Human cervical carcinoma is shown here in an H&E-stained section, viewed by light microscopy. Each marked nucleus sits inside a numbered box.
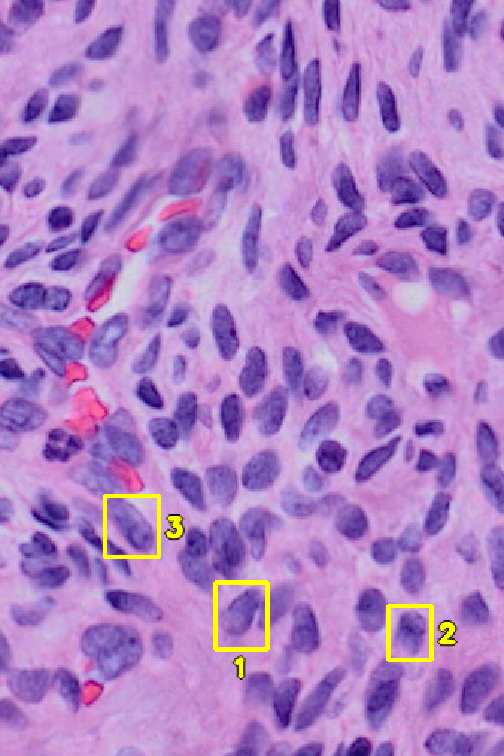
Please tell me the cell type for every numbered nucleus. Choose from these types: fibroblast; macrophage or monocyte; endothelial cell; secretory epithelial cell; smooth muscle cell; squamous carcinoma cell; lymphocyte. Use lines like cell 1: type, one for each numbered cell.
cell 1: fibroblast
cell 2: fibroblast
cell 3: endothelial cell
